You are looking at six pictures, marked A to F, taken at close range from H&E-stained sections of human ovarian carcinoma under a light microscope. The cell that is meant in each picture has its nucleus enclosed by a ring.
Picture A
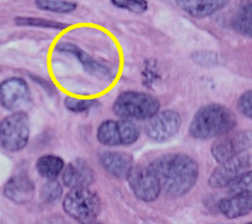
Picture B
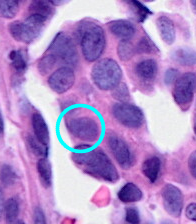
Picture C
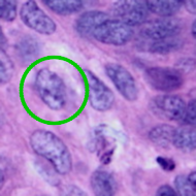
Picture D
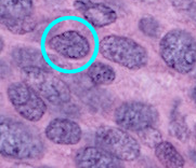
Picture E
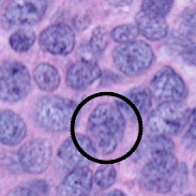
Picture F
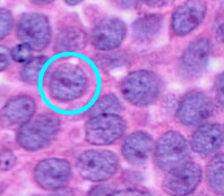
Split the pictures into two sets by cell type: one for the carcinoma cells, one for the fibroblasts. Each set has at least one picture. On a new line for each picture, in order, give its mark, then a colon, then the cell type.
A: fibroblast
B: carcinoma cell
C: fibroblast
D: carcinoma cell
E: carcinoma cell
F: carcinoma cell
